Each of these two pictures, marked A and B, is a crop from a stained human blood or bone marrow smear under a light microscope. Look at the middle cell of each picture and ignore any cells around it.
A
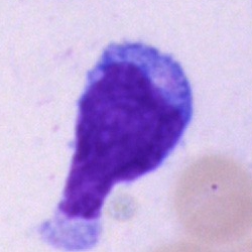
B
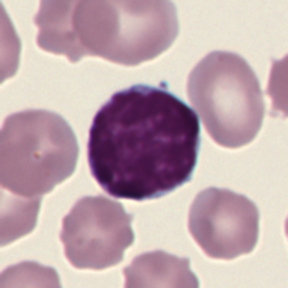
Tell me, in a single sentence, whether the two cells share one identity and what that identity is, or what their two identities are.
No, crop A features a blast, and crop B features a lymphocyte.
